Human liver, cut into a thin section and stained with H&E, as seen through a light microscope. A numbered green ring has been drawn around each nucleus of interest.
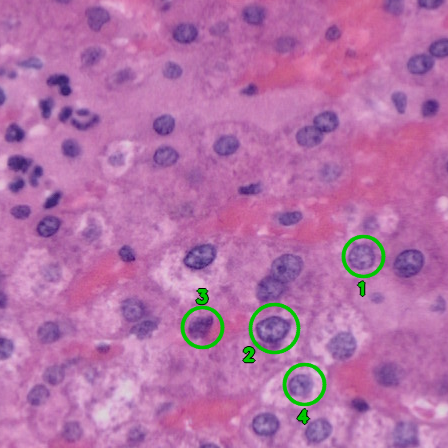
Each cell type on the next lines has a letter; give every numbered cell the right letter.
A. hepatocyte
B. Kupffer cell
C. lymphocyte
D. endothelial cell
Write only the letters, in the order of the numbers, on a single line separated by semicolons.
A; A; D; A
